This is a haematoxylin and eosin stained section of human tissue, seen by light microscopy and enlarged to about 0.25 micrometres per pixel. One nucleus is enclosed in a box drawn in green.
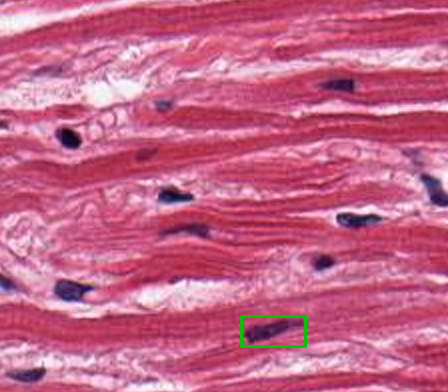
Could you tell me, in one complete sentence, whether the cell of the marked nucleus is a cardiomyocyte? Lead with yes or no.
Yes, the cell whose nucleus is marked is a cardiomyocyte.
